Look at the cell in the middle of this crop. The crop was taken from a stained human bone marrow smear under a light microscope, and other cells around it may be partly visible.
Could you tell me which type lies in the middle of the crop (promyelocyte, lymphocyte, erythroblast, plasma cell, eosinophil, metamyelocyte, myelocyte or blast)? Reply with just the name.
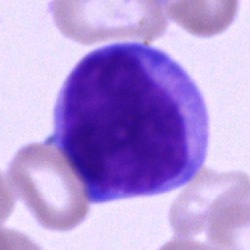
blast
